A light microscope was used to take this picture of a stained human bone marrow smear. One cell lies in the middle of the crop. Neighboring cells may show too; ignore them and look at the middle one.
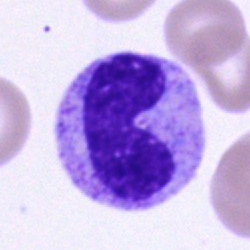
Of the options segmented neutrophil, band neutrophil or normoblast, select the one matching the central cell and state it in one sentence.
At the center of the crop sits a band neutrophil.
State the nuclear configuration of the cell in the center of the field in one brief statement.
In this cell the nucleus is a solitary compact mass, round, oval or kidney-shaped.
